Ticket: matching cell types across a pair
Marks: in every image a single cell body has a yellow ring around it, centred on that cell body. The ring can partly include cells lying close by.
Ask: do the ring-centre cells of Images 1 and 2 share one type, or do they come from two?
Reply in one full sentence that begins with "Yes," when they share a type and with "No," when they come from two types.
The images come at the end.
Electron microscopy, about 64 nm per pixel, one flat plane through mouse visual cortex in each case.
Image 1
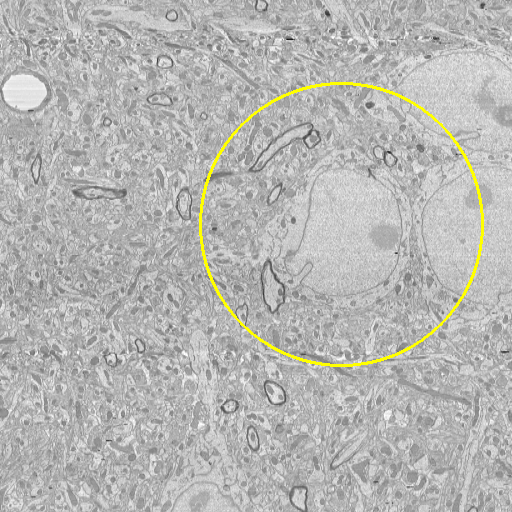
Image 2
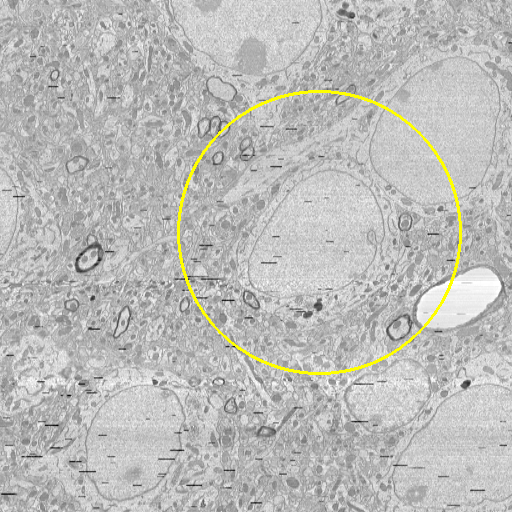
Yes, the cells in the centres of the rings in Image 1 and Image 2 share one type.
